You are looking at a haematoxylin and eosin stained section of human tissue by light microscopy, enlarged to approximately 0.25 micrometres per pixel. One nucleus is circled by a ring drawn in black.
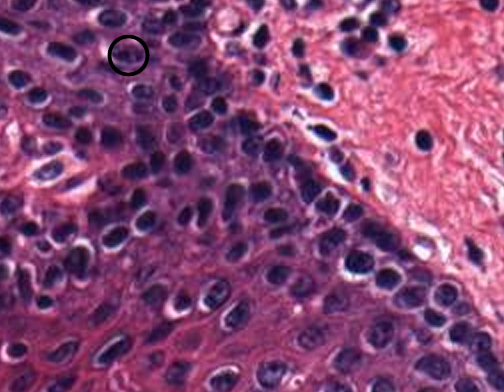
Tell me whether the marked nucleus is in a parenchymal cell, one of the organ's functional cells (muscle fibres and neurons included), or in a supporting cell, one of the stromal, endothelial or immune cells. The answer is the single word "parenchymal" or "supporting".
parenchymal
